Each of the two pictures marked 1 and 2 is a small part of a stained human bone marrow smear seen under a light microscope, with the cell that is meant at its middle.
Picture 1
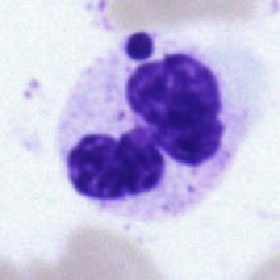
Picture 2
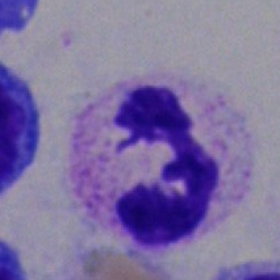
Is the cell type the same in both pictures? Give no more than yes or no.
yes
